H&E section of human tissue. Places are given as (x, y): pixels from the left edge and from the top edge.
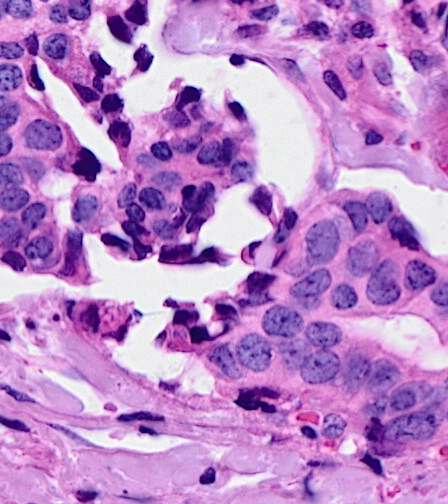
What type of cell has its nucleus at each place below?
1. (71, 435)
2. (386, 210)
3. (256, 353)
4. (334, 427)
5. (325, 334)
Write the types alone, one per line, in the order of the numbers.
fibroblast
carcinoma cell
carcinoma cell
endothelial cell
carcinoma cell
